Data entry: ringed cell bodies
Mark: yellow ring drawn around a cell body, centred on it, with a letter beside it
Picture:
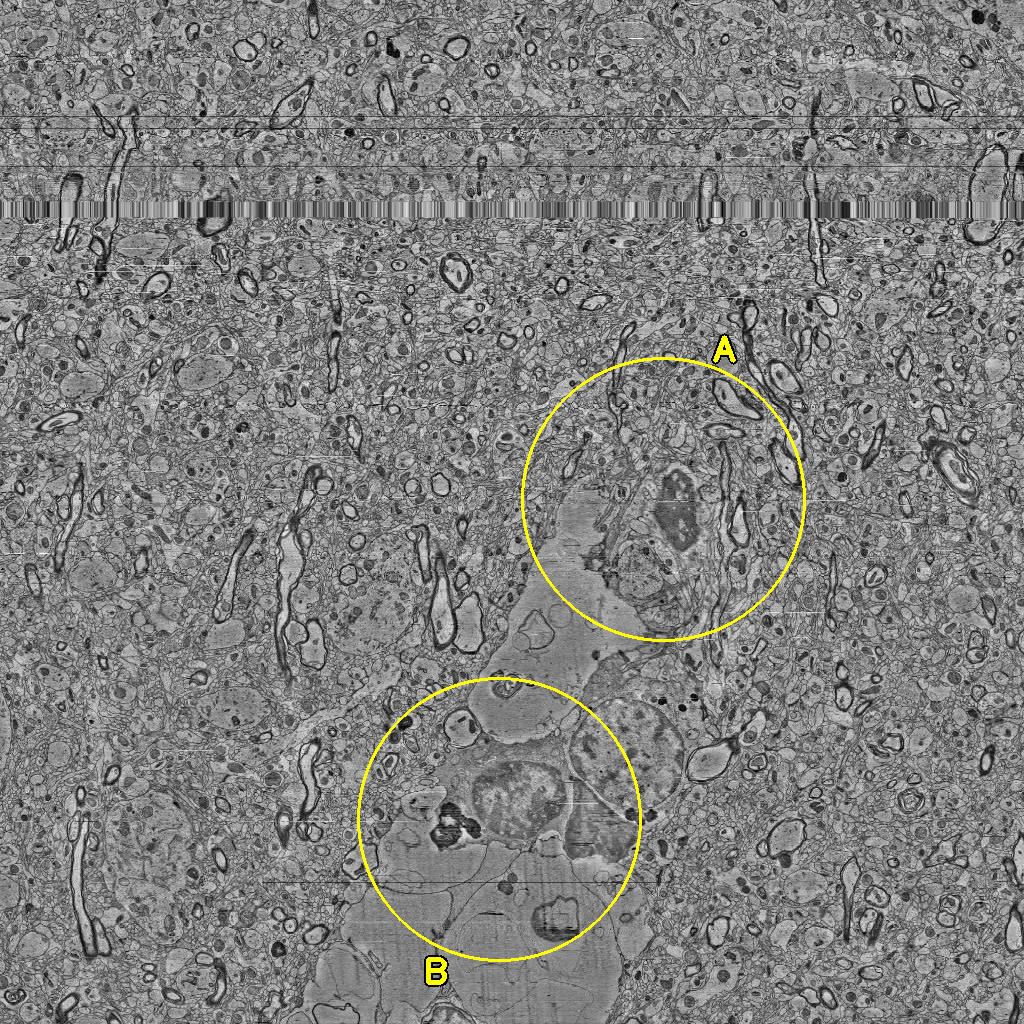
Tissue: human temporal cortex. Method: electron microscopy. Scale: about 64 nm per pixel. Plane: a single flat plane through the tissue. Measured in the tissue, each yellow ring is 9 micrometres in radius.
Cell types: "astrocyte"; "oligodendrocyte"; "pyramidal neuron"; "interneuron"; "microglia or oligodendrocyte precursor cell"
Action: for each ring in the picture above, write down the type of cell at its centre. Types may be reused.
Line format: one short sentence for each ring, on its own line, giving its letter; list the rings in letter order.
For ring A, the cell at the centre is a microglial cell or oligodendrocyte precursor cell.
For ring B, the cell at the centre is an oligodendrocyte.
